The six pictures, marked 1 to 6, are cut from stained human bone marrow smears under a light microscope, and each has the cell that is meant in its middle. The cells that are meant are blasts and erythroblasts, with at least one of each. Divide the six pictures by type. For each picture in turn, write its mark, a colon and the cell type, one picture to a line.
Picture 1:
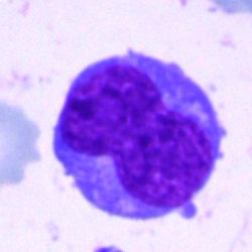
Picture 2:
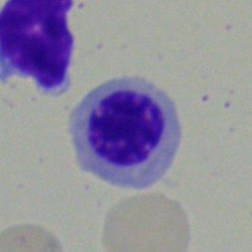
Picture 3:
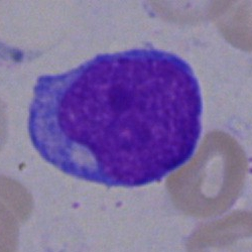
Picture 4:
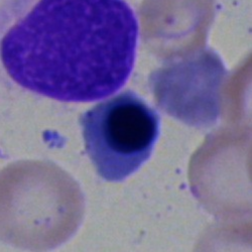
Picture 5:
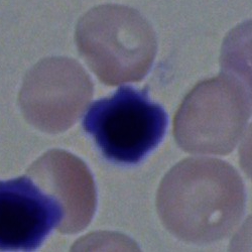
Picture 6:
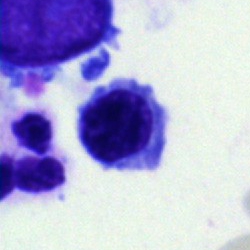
1: blast
2: erythroblast
3: blast
4: erythroblast
5: erythroblast
6: erythroblast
